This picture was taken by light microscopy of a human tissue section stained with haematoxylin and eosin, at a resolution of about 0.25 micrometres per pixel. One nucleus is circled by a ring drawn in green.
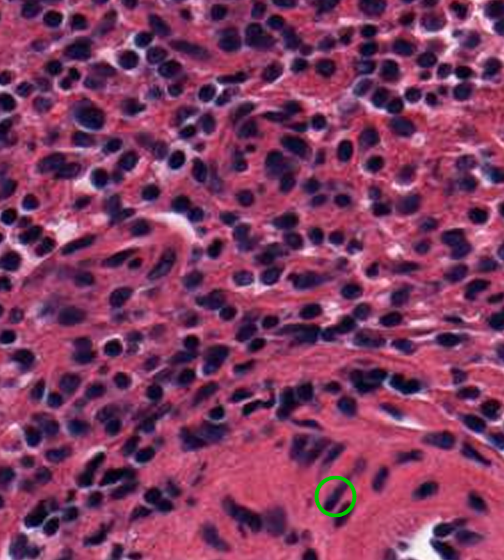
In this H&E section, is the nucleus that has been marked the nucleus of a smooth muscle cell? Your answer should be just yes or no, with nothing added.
yes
